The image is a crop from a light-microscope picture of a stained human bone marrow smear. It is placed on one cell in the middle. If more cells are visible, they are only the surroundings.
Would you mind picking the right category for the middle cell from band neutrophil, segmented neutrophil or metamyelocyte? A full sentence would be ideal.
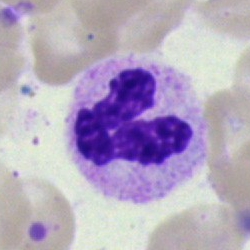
This particular crop is centered on a segmented neutrophil.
